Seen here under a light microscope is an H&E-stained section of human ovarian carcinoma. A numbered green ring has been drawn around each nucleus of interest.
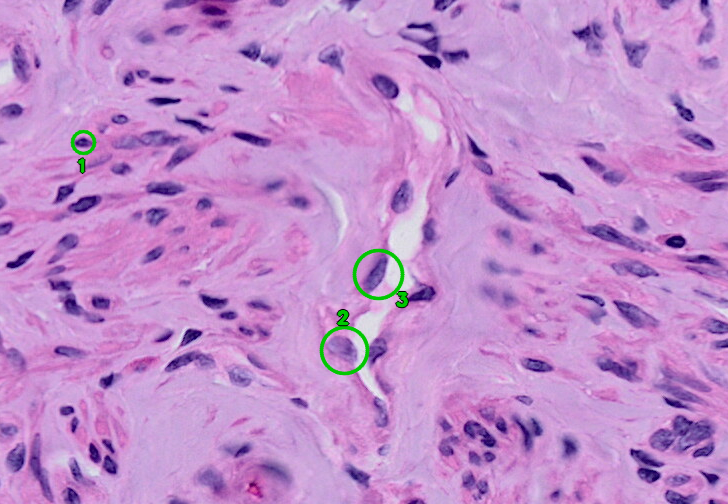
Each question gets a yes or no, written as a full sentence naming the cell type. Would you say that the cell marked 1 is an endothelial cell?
No, cell 1 is to be classed as a smooth muscle cell, not an endothelial cell.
